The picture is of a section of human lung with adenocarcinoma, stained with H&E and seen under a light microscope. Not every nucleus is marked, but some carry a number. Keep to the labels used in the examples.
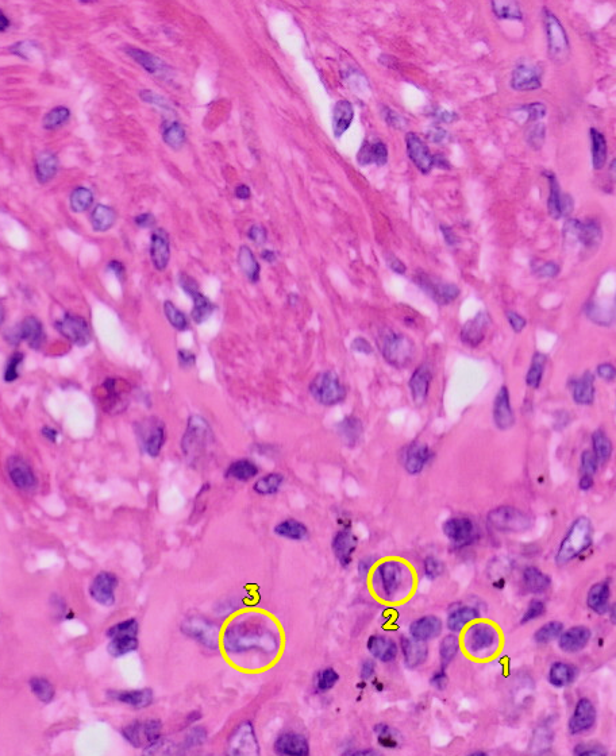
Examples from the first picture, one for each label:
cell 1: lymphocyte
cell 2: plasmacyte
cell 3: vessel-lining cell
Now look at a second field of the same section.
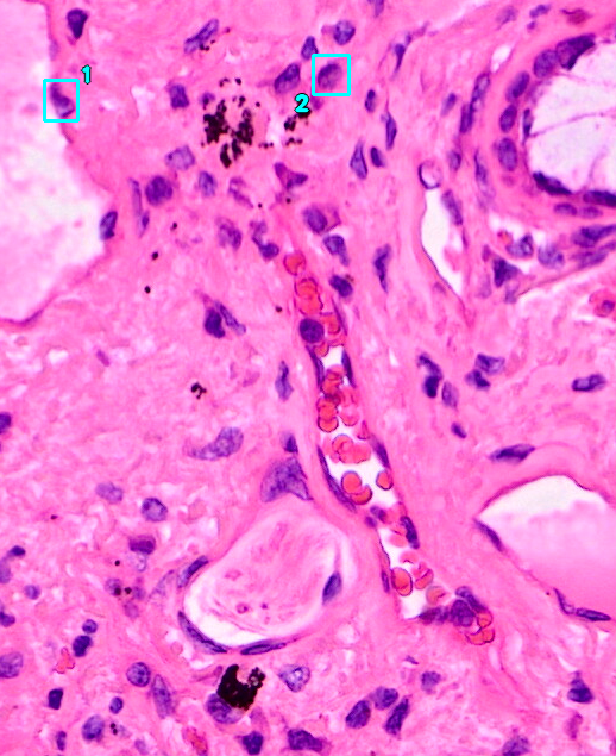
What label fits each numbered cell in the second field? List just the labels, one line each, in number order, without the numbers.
vessel-lining cell
plasmacyte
